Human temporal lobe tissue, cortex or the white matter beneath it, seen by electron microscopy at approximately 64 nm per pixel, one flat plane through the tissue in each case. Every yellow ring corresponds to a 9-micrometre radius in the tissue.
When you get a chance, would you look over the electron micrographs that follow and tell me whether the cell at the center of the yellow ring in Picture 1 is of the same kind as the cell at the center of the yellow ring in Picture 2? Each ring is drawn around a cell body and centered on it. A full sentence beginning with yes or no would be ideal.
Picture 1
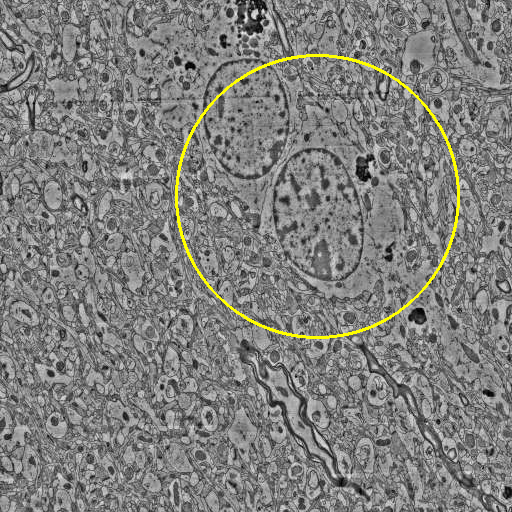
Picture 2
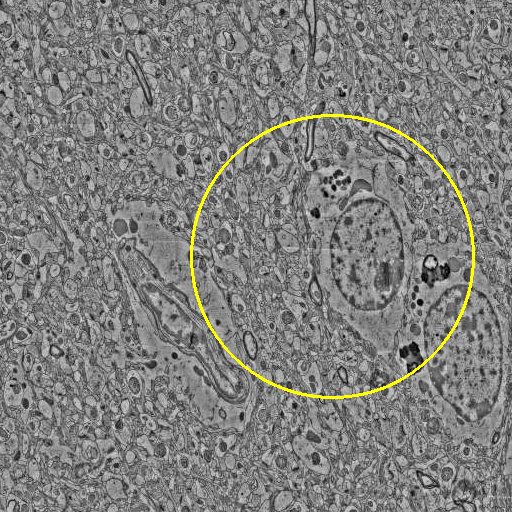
Yes, the two cells are of the same kind.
